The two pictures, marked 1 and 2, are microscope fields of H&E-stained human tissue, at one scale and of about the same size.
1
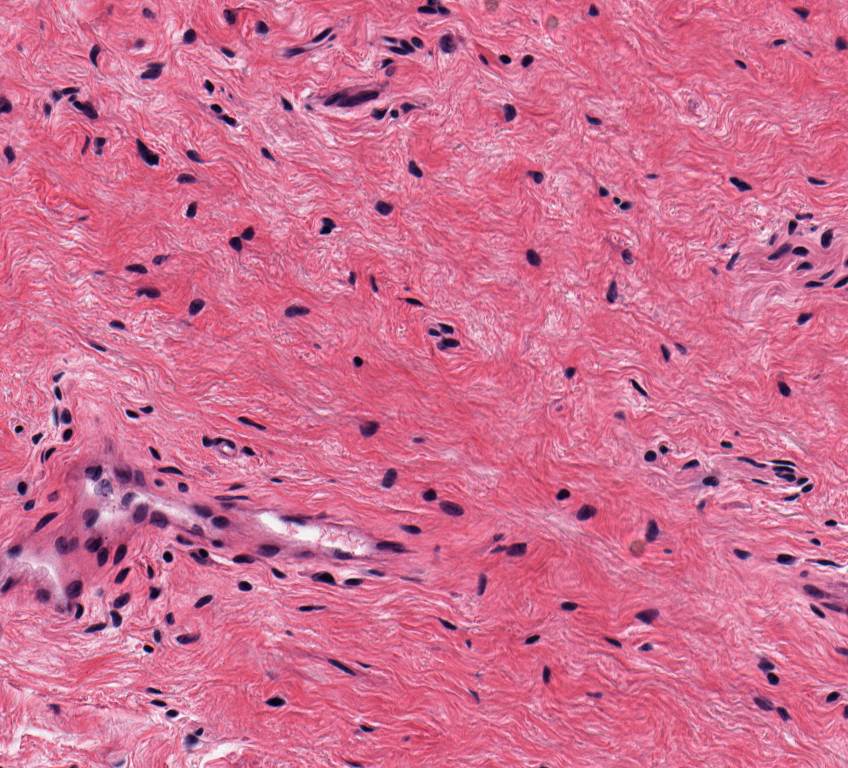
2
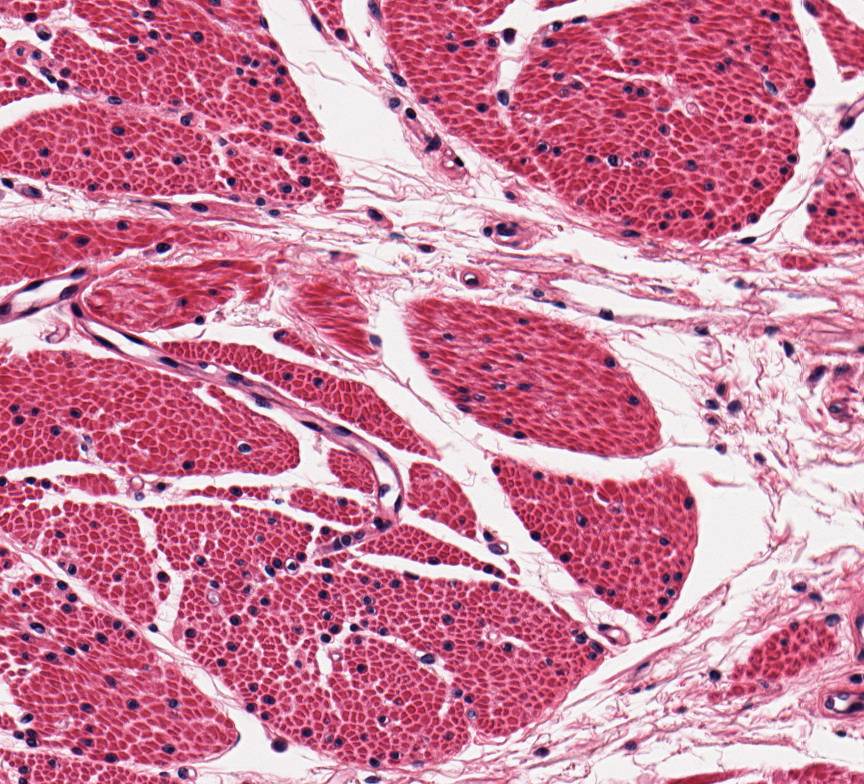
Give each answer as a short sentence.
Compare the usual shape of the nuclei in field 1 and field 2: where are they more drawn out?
It is field 1 whose nuclei are the more elongated.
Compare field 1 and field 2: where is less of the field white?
Less of field 1 is empty and white.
